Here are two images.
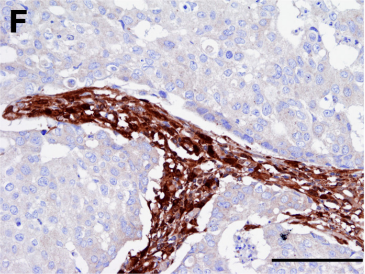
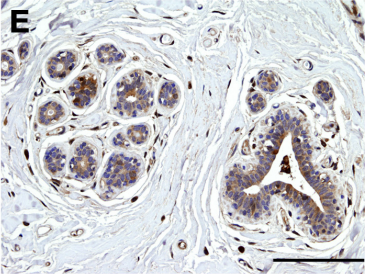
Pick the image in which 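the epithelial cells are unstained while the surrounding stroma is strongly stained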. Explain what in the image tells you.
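The first image. First image: sheets of epithelial cells are pale blue beside a dark brown band of stroma. Second image: the epithelial cells of the acini and duct show light brown cytoplasm.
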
